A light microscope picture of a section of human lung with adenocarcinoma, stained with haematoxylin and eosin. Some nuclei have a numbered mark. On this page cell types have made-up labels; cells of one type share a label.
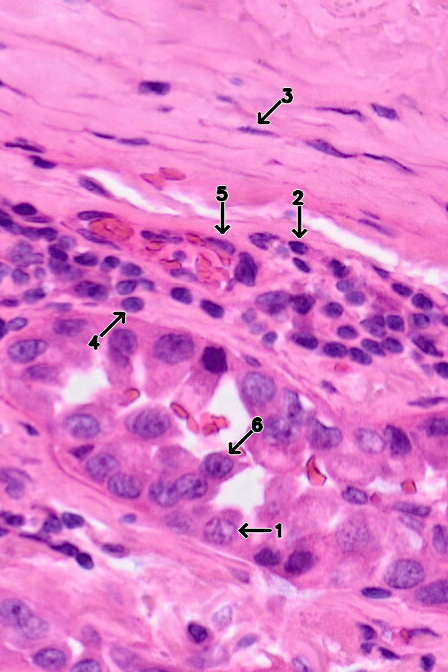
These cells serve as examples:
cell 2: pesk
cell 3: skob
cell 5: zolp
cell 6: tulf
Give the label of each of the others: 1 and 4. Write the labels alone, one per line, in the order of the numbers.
tulf
pesk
